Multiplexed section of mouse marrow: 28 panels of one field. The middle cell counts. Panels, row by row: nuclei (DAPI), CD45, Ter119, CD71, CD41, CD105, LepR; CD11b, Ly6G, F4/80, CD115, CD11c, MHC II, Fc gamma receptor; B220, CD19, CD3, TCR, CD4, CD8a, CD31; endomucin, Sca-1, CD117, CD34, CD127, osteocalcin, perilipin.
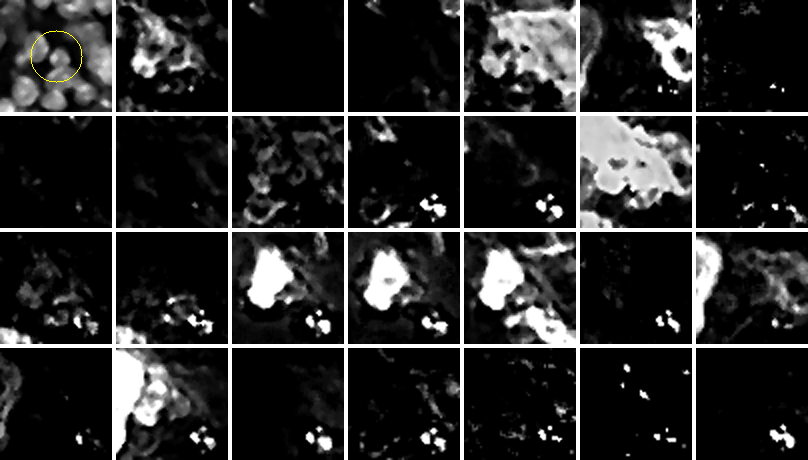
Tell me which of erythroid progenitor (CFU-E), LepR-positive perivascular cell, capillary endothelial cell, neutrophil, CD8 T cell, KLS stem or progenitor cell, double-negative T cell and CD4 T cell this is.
The picture shows a CD4 T cell.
